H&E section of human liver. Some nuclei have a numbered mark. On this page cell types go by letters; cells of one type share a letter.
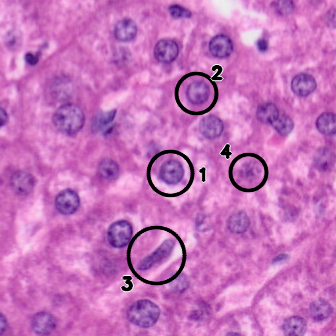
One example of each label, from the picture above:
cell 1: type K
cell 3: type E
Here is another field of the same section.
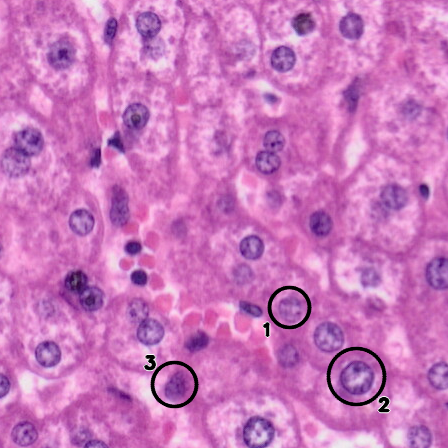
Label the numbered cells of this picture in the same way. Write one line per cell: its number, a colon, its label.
1: type K
2: type K
3: type E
